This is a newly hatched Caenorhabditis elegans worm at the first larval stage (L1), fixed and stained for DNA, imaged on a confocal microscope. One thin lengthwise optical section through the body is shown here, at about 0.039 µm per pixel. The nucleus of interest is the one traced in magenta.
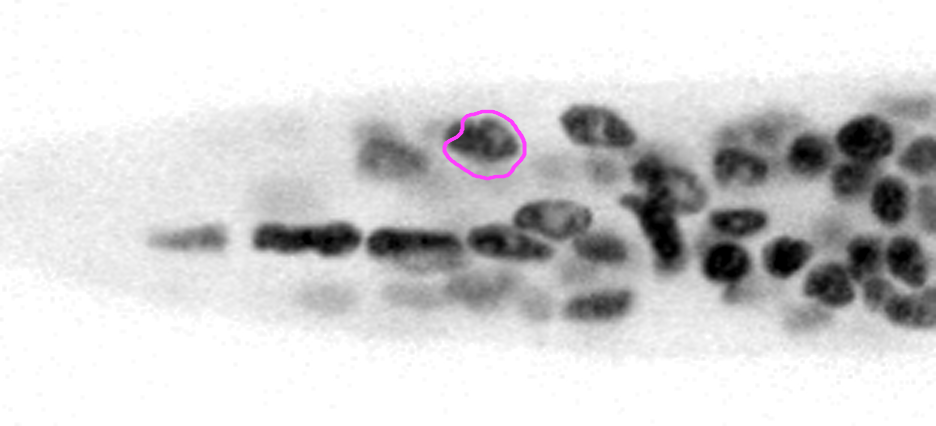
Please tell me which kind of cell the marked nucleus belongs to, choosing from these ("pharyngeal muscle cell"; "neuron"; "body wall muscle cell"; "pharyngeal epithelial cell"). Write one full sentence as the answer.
It is the nucleus of a body wall muscle cell.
